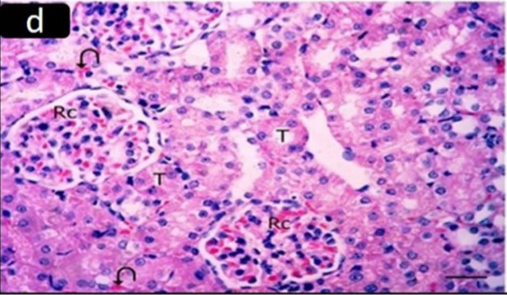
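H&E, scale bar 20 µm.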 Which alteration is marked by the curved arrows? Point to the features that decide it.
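Red-stained blood cells fill small vessels between tubules.
Hence: congested blood capillaries.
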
